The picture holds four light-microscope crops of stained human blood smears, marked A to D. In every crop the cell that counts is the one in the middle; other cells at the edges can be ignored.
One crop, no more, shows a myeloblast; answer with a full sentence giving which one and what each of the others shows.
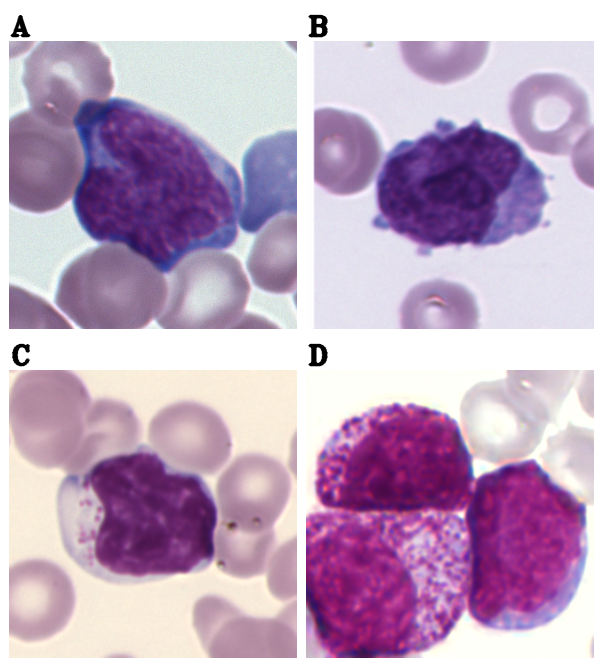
Crop A shows a myeloblast, and as for the other crops, crop B is an atypical promyelocyte, crop C is a large granular lymphocyte and crop D is a myelocyte.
